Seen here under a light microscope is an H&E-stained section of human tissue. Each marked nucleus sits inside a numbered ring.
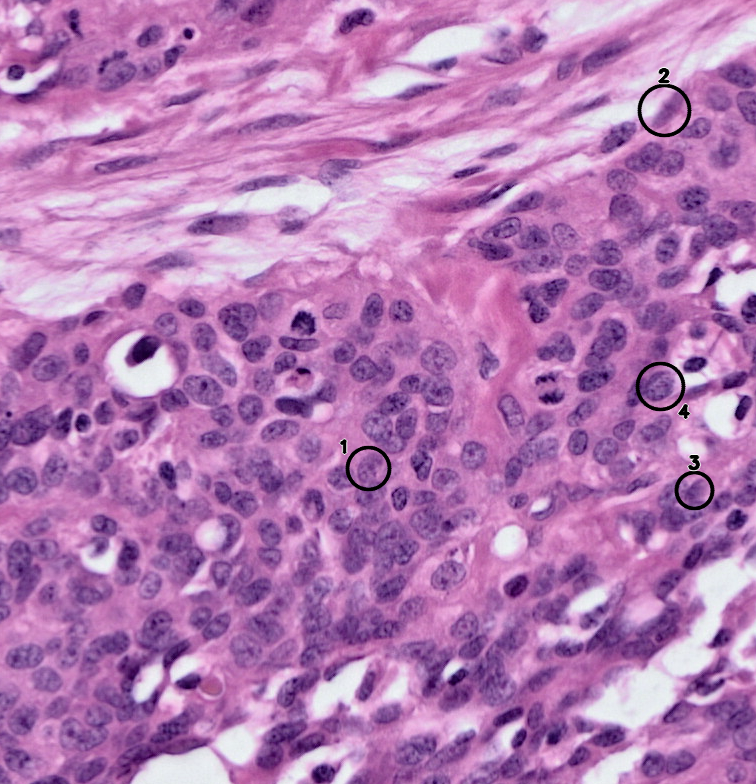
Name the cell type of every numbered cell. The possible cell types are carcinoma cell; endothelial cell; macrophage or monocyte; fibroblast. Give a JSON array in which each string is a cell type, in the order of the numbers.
["carcinoma cell", "fibroblast", "carcinoma cell", "carcinoma cell"]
